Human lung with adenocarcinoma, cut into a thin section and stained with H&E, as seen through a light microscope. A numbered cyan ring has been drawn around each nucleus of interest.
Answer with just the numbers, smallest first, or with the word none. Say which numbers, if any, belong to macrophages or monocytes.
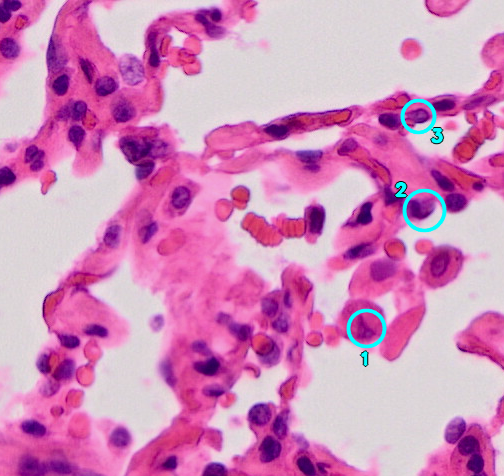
1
